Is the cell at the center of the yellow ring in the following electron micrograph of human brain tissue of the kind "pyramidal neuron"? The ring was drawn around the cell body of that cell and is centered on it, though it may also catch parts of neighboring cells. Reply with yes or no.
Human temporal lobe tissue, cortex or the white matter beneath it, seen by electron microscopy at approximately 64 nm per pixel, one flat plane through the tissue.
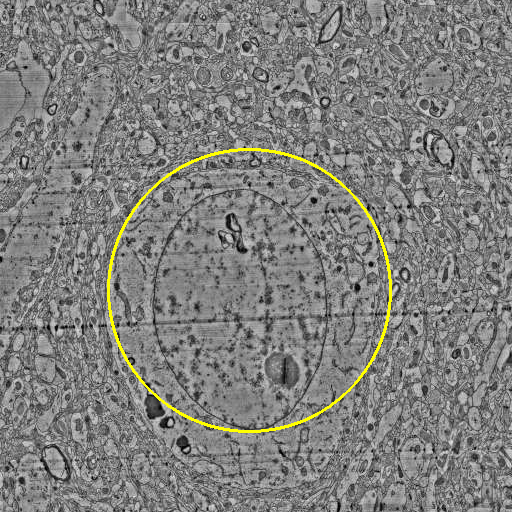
Yes, that is its kind.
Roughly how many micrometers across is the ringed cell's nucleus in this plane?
About 15 by 11 micrometers for the nucleus, in this plane.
